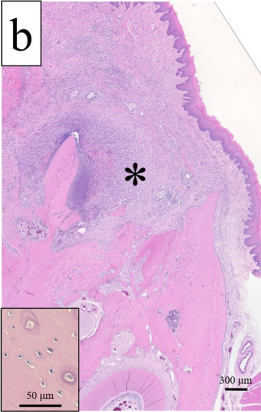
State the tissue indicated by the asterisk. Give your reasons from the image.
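The asterisk lies in a densely cellular, purple-staining loose tissue. This tissue fills the space beneath an intact surface epithelium and above pink bone.
Answer: granulation tissue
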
